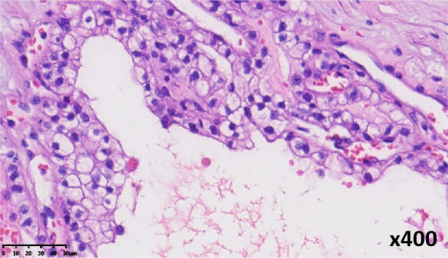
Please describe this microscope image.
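Tubular and cystic structures of a tumour are seen at high magnification. A cystic space with pale, finely stranded pink fluid and a few red blood cells is lined by epithelial cells. The tumour cells form nests and tubules separated by thin stromal bands carrying small vessels filled with red blood cells. The cells have clear to pale cytoplasm with distinct cell borders and round, dark purple nuclei. Toward the right, stroma with pink fibres and elongated nuclei adjoins the epithelial nests.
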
